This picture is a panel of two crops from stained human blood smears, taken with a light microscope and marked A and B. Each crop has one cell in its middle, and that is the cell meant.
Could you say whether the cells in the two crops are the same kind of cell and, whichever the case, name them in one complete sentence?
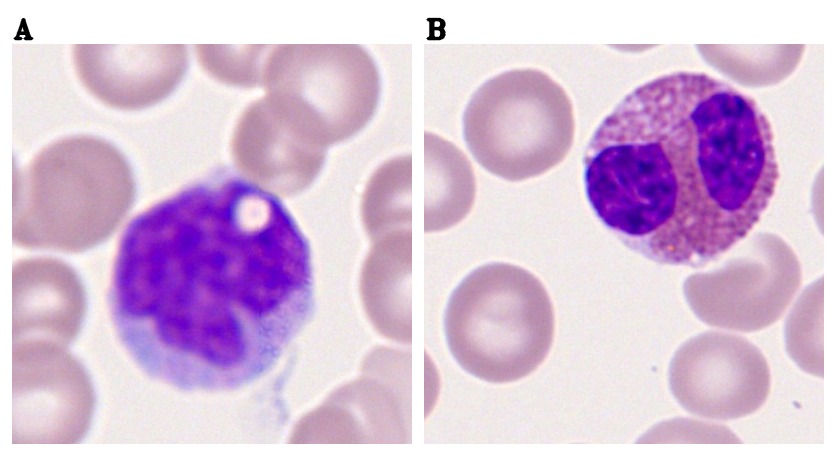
No, crop A and crop B contain, respectively, a monocyte and an eosinophil.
